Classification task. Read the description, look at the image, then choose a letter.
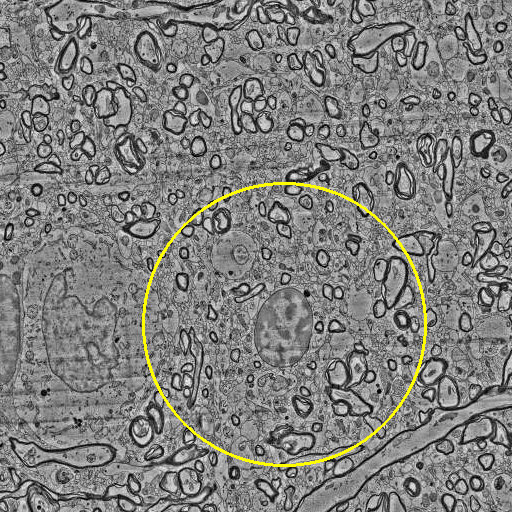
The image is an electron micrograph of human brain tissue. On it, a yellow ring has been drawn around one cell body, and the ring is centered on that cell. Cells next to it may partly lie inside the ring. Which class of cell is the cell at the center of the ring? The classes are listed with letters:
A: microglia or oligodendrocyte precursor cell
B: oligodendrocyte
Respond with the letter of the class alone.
A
